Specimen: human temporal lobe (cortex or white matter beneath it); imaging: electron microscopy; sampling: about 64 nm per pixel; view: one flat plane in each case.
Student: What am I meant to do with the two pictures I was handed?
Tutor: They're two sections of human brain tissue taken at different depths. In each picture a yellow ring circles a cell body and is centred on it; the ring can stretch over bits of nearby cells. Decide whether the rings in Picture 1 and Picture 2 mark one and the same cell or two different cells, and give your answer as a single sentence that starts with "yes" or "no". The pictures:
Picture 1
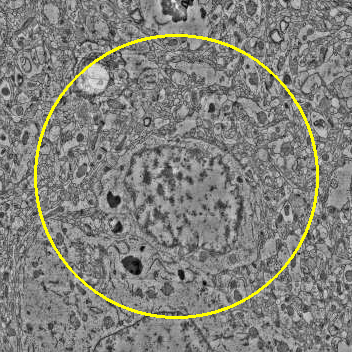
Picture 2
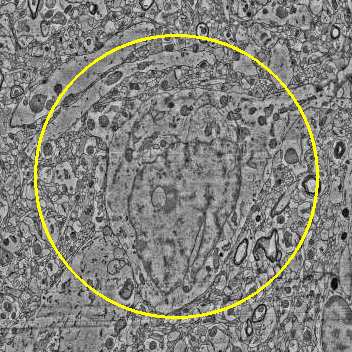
No, the rings single out two cells that are separate from each other.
